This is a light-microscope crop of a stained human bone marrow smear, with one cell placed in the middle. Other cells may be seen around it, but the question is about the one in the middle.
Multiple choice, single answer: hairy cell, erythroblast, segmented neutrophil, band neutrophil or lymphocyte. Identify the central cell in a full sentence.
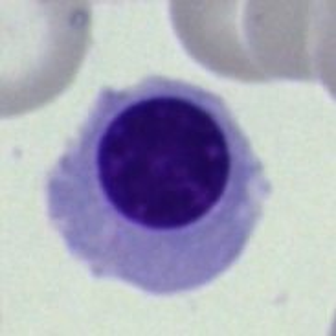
To answer, the cell in the center of the crop is an erythroblast.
